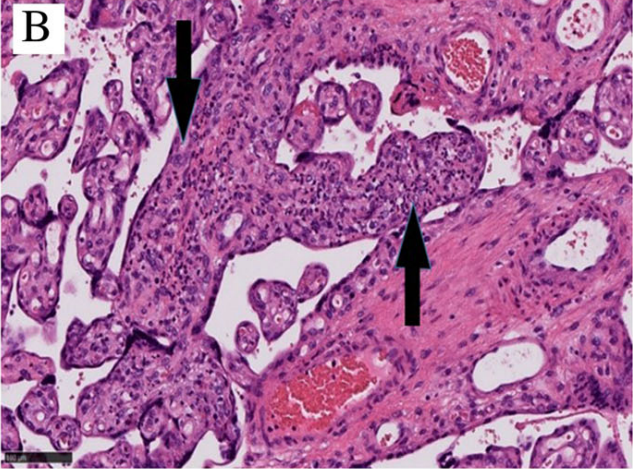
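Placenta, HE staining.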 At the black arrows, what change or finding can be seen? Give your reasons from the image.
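The arrows point to a villus crowded with small dark nuclei. Its normal stroma is effaced by the dense cell infiltrate. Neighbouring villi have loose stroma and open capillaries.
Hence: destructive inflammation of chorionic villus.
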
